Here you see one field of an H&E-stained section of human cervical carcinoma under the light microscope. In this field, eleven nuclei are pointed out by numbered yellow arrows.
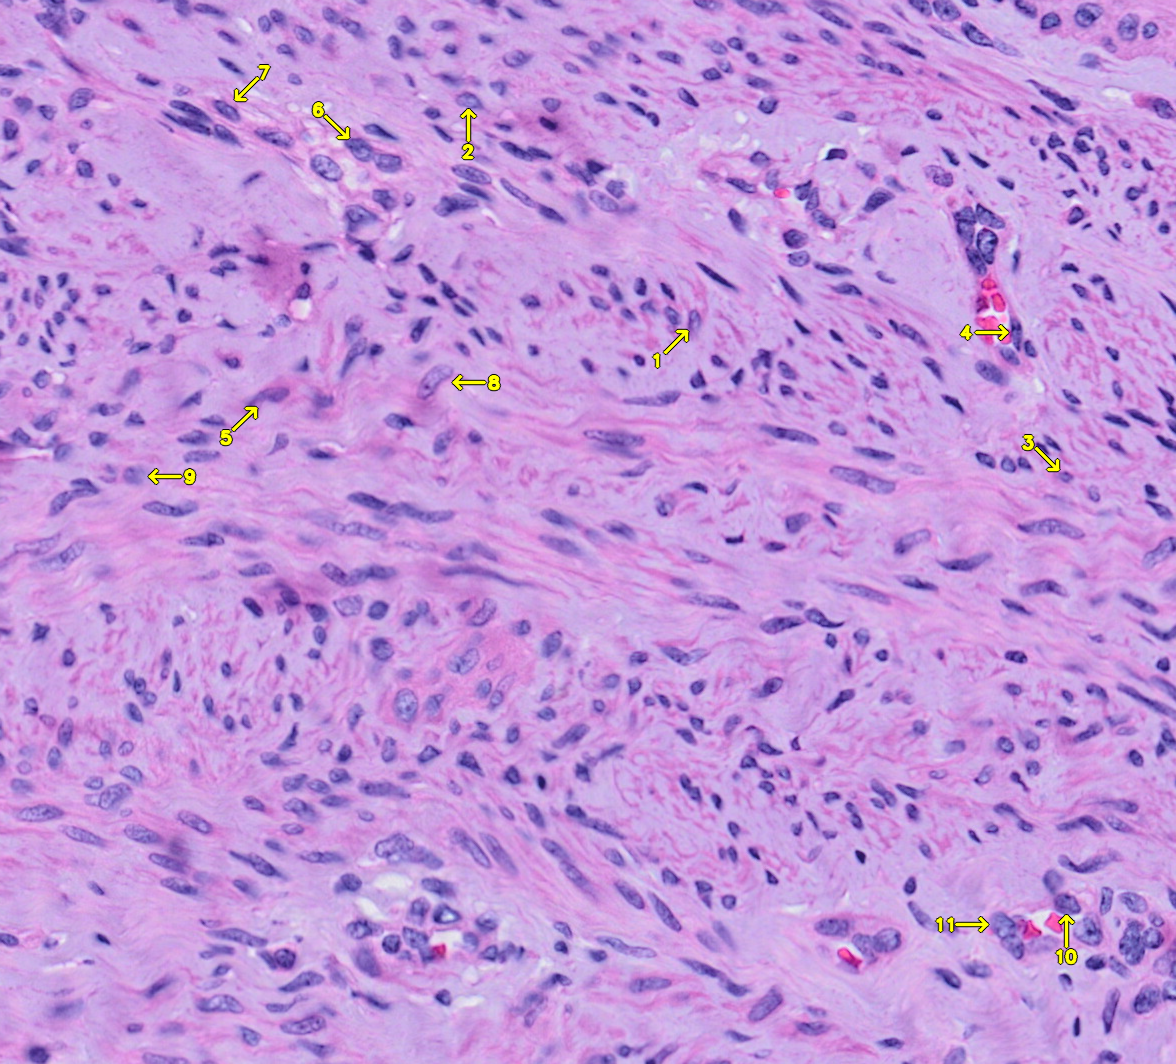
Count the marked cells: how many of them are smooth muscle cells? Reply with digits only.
6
